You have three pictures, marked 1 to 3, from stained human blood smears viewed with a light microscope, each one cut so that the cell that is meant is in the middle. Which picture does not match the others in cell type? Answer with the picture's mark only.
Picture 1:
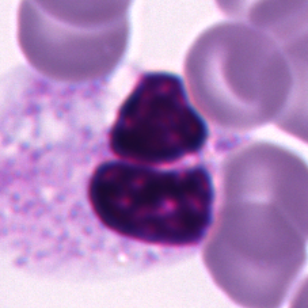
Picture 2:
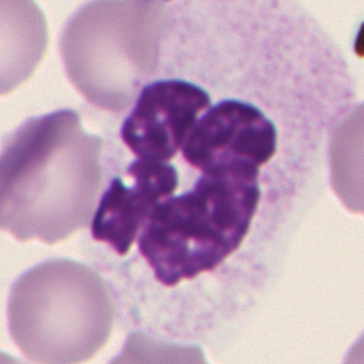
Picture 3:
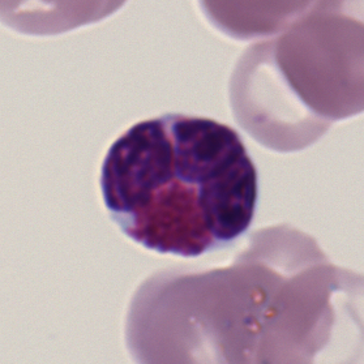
3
